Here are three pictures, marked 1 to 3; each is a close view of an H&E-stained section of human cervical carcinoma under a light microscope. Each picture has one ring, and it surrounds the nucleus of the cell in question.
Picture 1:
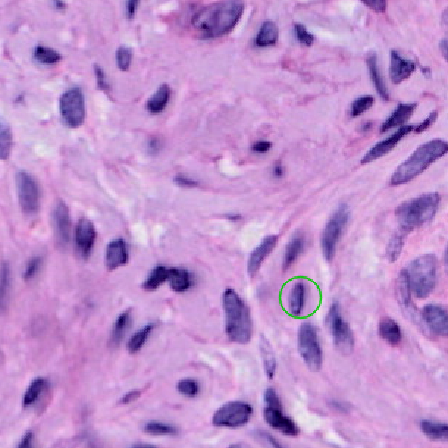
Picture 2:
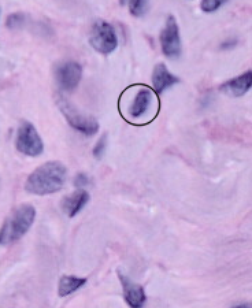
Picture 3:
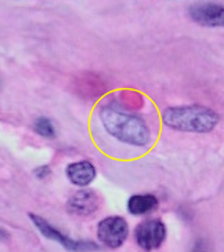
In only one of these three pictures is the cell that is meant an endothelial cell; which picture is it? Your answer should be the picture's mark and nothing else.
3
